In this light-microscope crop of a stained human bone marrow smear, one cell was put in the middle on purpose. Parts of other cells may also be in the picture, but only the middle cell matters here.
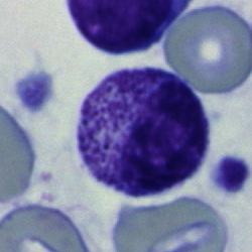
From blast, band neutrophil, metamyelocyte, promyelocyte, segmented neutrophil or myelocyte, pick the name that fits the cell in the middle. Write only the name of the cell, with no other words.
myelocyte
